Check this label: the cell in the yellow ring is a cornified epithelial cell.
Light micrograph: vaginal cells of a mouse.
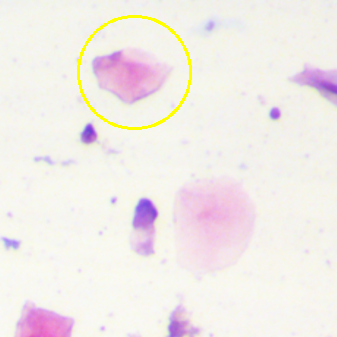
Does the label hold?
The label holds; the cell is a cornified epithelial cell.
